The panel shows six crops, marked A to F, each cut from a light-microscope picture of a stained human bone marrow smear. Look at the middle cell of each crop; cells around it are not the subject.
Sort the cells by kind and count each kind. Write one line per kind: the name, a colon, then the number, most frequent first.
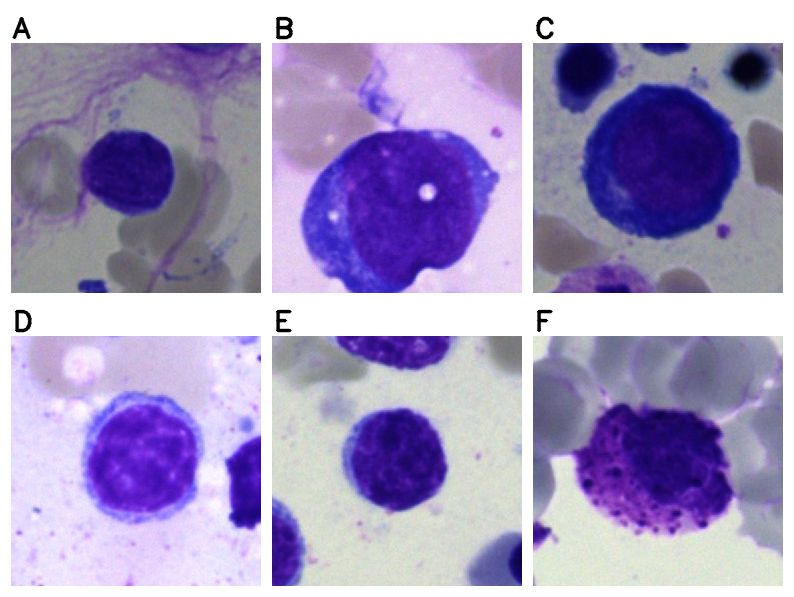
lymphocyte: 3
proerythroblast: 2
basophil: 1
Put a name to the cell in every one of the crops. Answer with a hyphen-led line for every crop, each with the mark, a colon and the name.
- A: lymphocyte
- B: proerythroblast
- C: proerythroblast
- D: lymphocyte
- E: lymphocyte
- F: basophil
